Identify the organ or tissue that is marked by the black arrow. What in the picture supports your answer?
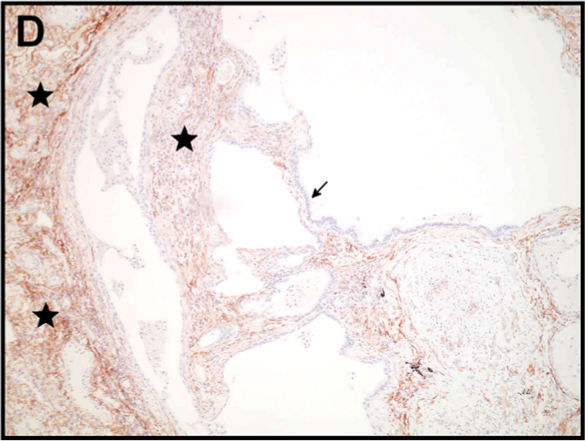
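The arrow points to a thin cell layer lining a large empty space. The lining shows blue nuclei with no brown stain. The answer: epithelium.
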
